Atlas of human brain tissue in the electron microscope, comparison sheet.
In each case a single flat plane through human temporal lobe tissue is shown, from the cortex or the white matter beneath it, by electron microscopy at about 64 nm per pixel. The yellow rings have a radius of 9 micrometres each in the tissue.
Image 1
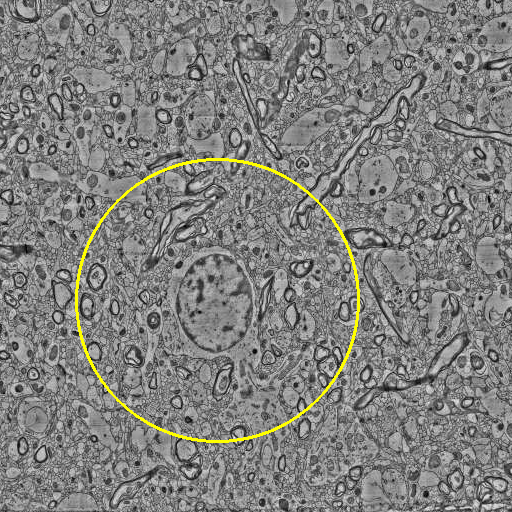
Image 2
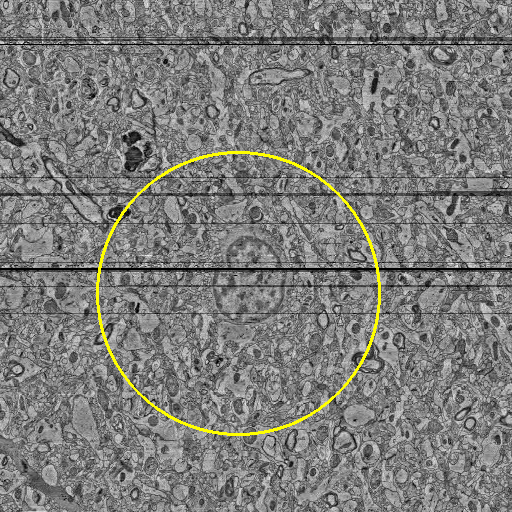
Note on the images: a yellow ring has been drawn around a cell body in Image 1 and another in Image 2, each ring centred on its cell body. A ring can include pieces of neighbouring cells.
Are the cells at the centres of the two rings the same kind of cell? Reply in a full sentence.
No, the two cells are of two kinds.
